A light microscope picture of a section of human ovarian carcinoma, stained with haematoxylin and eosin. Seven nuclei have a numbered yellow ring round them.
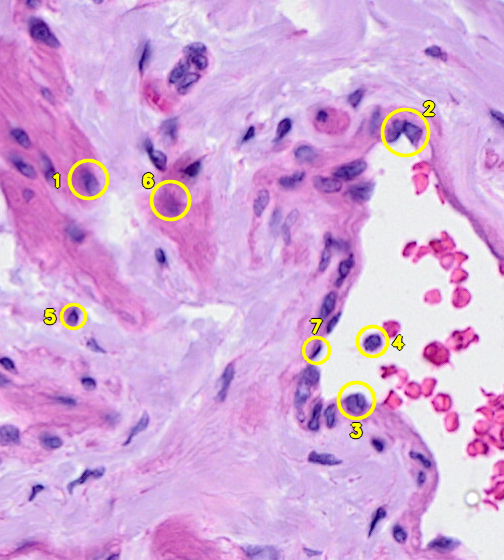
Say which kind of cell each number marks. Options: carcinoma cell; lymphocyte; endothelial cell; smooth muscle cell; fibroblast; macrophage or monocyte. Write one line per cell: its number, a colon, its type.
1: smooth muscle cell
2: endothelial cell
3: endothelial cell
4: lymphocyte
5: smooth muscle cell
6: smooth muscle cell
7: endothelial cell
